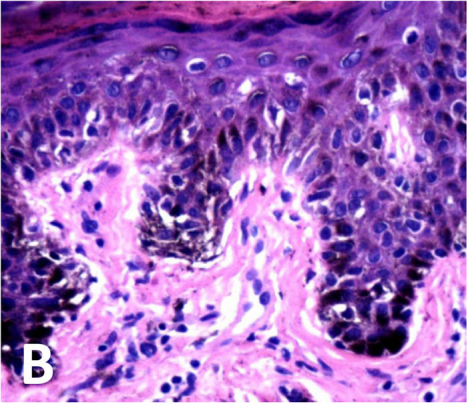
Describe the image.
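High-power view of epidermal rete ridges with melanocytes at their bases, beside the pink collagen of the dermis. Dense brown-black pigment fills cells at the tips of the ridges, and some cells show clear cytoplasm around their nuclei. Keratinocytes with oval purple nuclei fill the upper epidermis.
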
